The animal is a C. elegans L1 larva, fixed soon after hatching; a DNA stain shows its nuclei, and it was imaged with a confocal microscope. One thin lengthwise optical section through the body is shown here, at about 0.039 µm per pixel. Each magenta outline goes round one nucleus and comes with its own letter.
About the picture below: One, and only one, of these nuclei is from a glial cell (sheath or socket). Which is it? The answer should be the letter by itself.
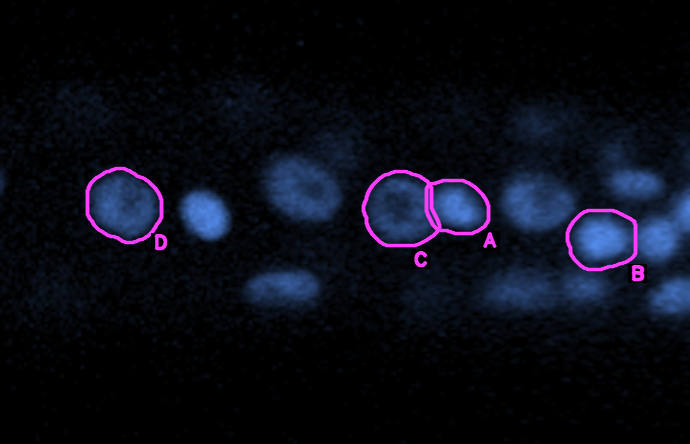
A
